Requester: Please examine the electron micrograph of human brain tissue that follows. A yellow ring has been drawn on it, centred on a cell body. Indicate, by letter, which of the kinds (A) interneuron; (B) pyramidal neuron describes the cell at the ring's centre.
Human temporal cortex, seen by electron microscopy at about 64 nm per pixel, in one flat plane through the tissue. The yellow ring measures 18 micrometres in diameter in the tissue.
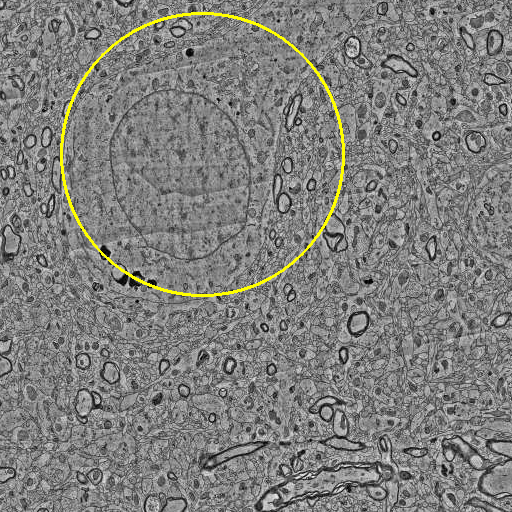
B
